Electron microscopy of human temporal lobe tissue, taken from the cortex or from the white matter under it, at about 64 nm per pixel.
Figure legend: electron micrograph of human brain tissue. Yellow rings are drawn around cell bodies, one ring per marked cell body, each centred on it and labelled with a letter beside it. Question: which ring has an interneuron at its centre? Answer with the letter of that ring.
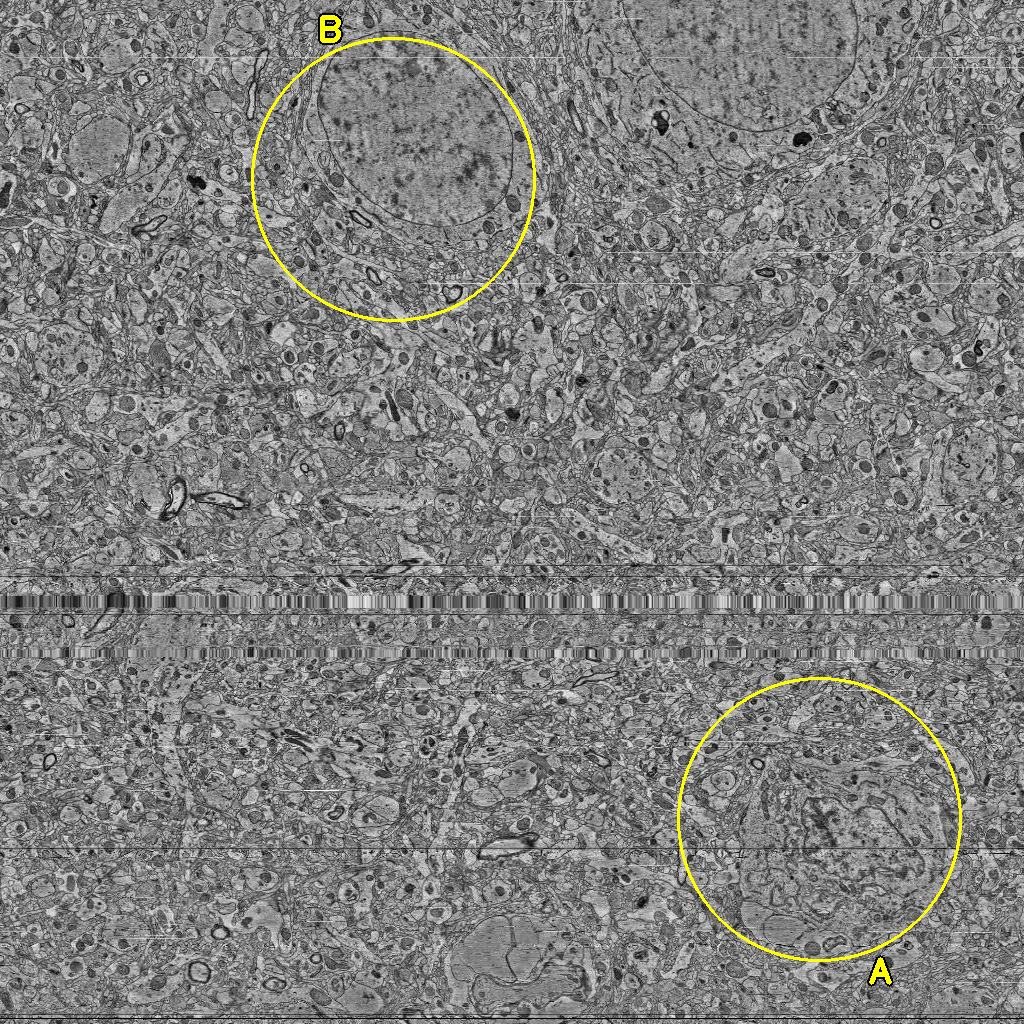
A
